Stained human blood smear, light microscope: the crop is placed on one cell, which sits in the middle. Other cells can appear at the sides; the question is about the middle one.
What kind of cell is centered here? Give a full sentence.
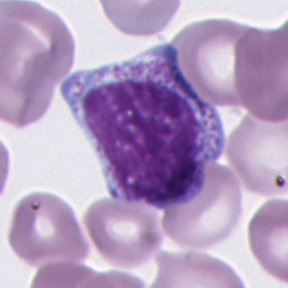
Seen at the centre of the crop is a myelocyte.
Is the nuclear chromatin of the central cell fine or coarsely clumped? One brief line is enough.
The chromatin is fine, with no coarse clumping anywhere.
